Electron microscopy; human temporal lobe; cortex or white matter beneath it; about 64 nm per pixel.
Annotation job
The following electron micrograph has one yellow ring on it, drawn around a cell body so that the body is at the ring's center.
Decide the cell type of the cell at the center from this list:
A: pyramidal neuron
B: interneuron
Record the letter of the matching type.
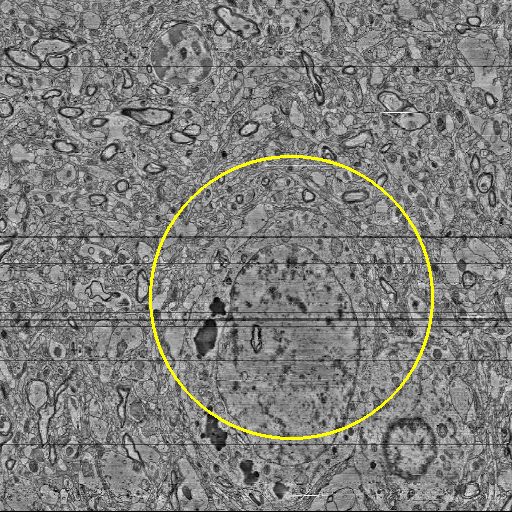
B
